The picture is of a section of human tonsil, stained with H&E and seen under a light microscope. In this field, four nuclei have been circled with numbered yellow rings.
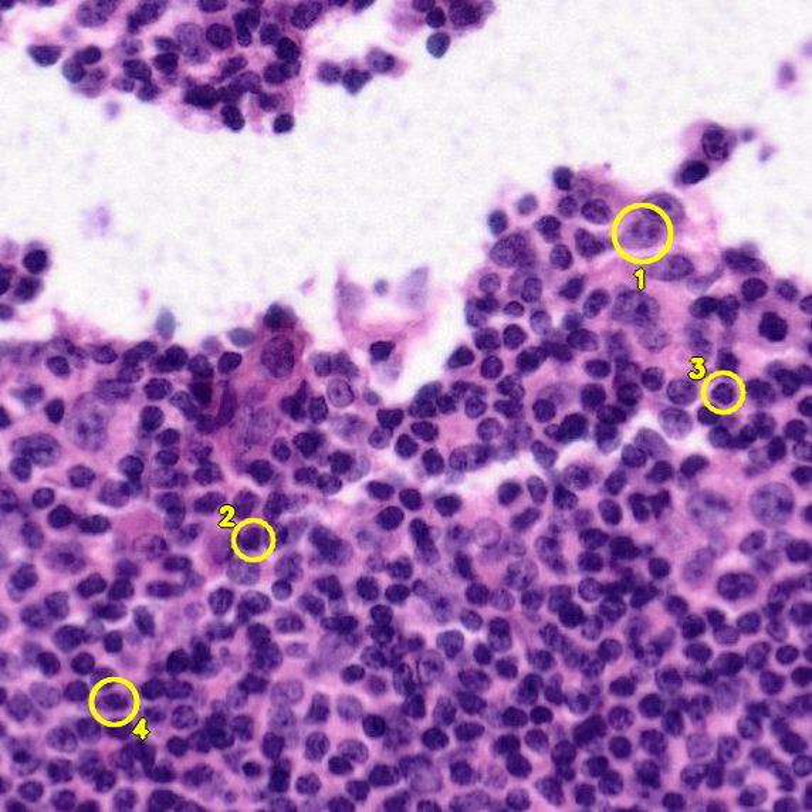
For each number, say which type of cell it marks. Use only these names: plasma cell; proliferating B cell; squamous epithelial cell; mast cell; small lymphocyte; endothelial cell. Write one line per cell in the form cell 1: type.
cell 1: proliferating B cell
cell 2: small lymphocyte
cell 3: small lymphocyte
cell 4: small lymphocyte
